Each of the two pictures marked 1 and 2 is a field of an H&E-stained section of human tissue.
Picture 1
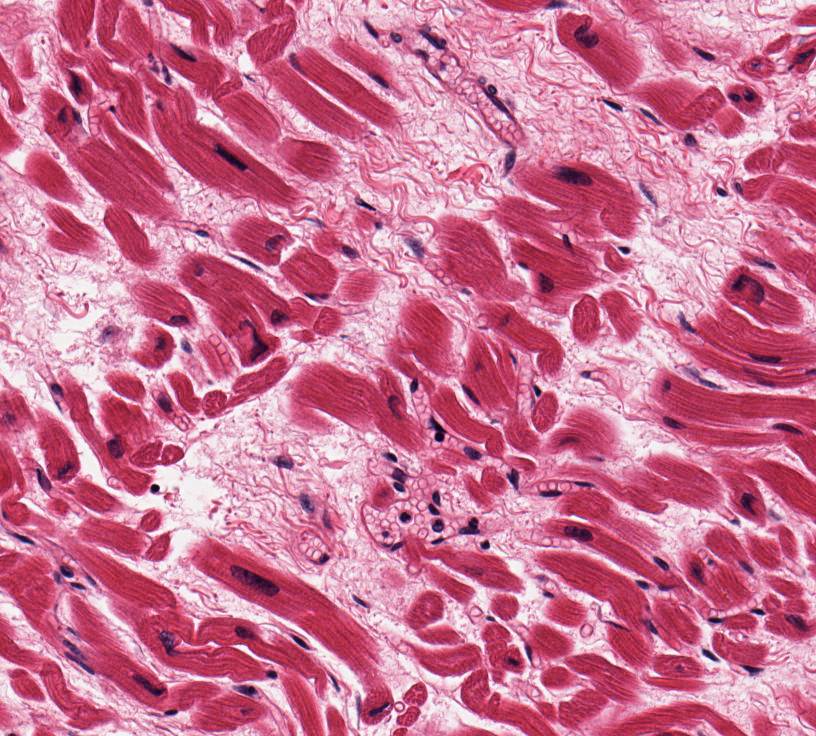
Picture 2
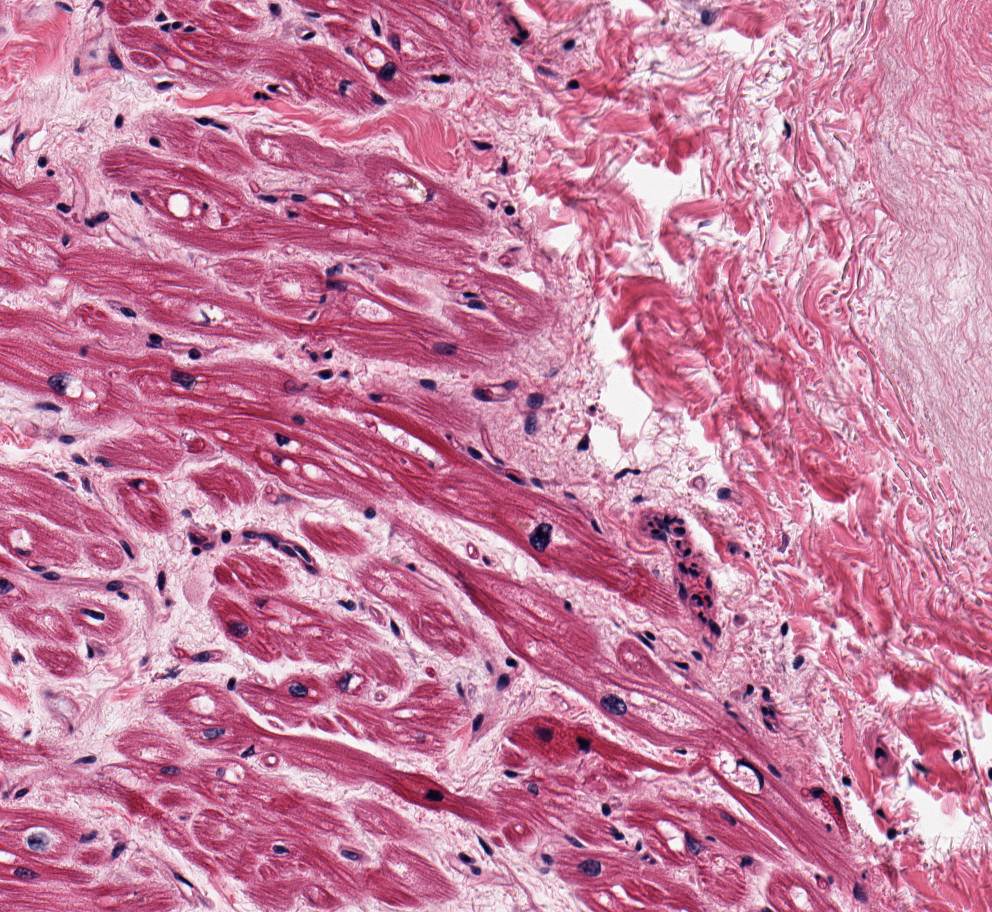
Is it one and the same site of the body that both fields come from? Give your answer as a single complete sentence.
Yes, the two fields both come from the atrial appendage of the heart.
